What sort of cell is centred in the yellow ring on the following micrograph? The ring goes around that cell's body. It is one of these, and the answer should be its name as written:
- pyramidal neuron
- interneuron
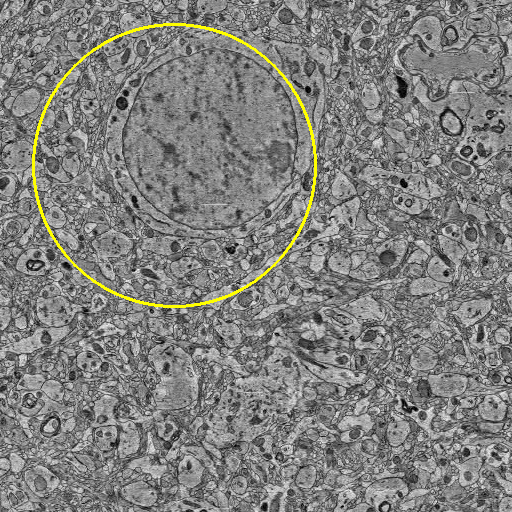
pyramidal neuron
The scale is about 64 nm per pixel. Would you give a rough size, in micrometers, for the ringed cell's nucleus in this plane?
Roughly 12 micrometers across in this plane.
